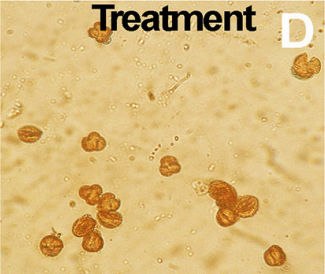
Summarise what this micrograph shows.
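A few pollen grains lie scattered over a pale beige background with many small granular particles. Some grains lie in small clusters, while much of the field is empty of grains.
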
